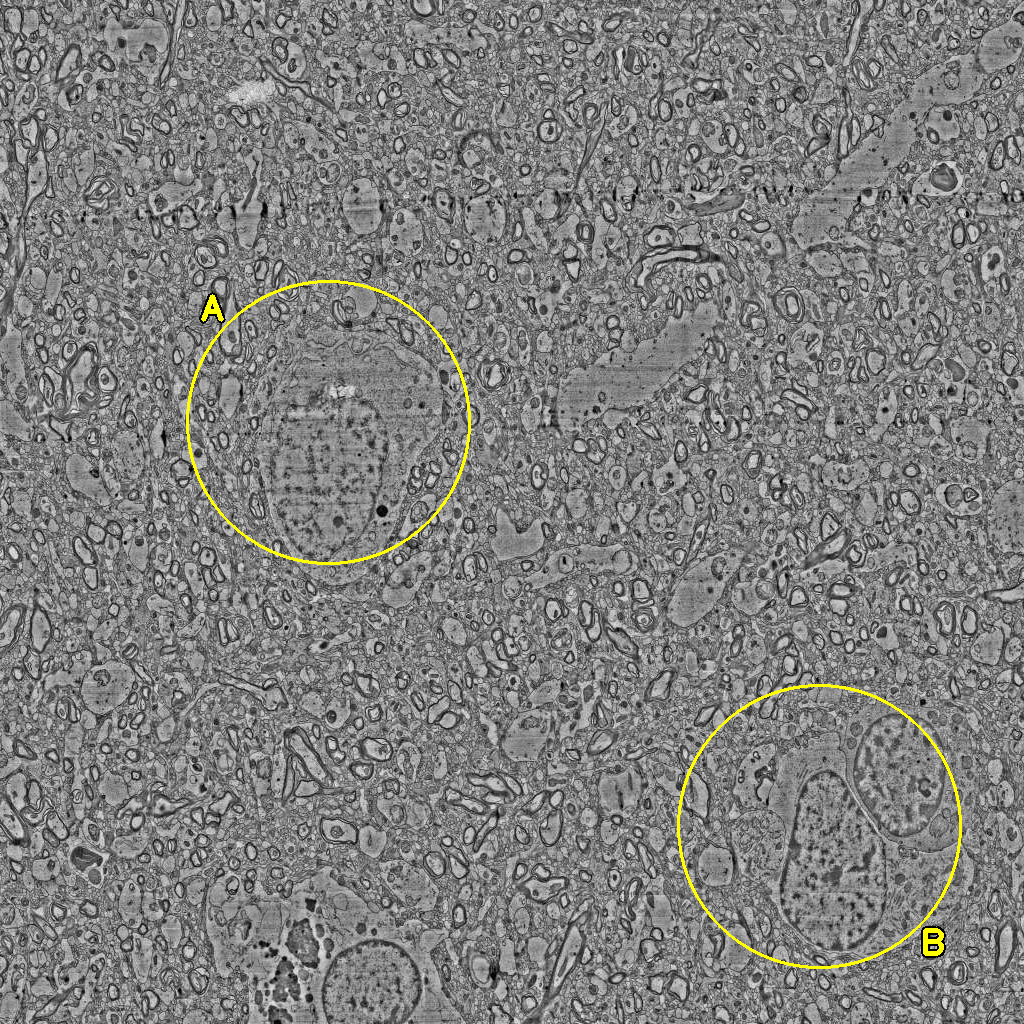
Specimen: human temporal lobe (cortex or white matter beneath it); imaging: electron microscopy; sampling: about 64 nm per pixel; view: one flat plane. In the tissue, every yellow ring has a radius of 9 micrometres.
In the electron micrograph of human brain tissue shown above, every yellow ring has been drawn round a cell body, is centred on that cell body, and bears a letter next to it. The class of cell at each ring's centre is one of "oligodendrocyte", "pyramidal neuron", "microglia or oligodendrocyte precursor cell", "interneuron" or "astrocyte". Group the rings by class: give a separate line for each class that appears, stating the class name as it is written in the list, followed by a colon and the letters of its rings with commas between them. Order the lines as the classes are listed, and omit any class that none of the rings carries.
microglia or oligodendrocyte precursor cell: B
interneuron: A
